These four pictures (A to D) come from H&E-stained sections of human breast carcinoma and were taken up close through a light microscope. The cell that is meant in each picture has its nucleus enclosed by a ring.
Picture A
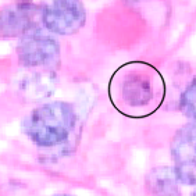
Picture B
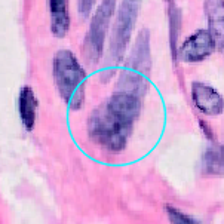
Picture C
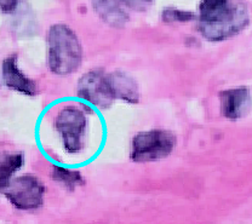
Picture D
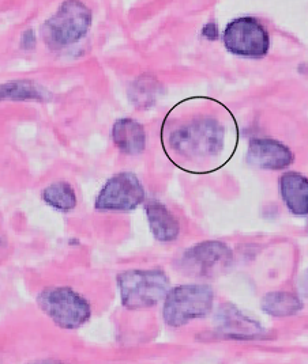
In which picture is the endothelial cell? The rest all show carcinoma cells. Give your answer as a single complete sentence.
The cell in picture B is the endothelial cell.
